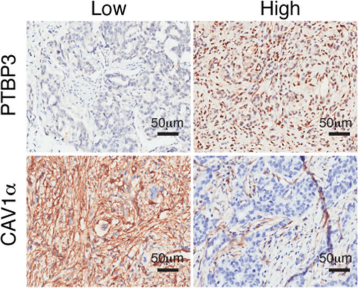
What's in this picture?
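In the upper right field many nuclei are brown, while the upper left field is mostly blue with few brown nuclei. In the lower left field a strong brown stain fills the cytoplasm and outlines of many elongated cells, while the lower right field is mostly blue with only a thin brown strand crossing it.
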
